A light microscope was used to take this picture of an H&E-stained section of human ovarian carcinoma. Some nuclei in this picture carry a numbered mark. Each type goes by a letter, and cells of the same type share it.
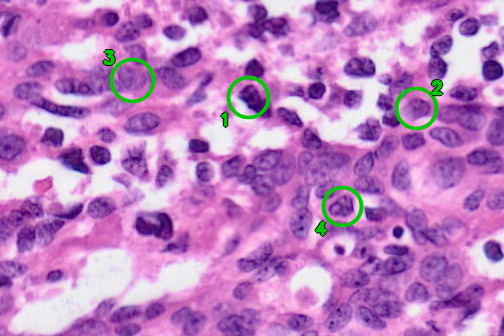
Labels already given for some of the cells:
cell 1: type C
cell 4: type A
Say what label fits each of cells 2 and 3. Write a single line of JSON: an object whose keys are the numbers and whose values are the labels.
{"2": "type C", "3": "type C"}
